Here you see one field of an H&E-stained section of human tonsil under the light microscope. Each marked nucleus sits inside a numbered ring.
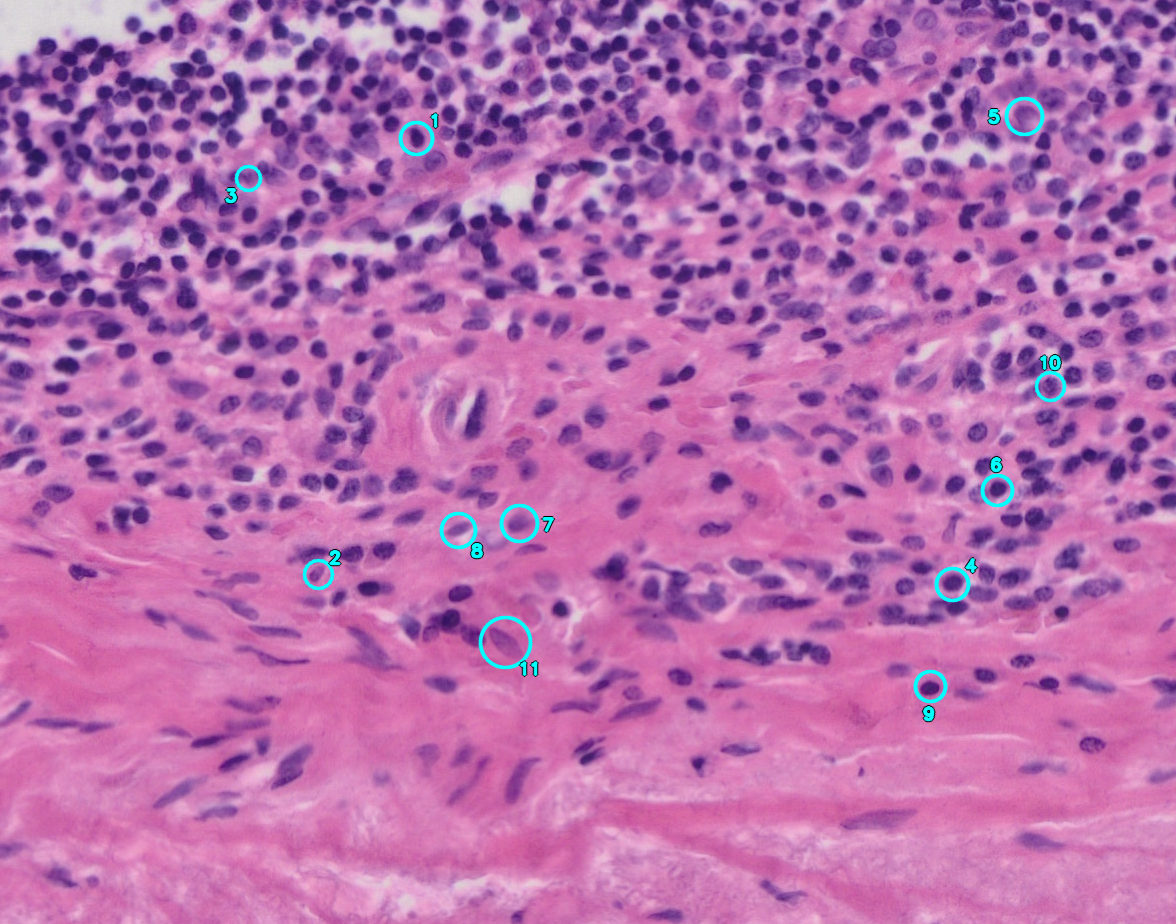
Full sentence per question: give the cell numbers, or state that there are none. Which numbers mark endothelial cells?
Cells 1, 3, 5, 7, 8 and 11 are of one type, namely endothelial cells.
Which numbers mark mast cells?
Cells numbered 2 and 9 belong to the group of mast cells.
